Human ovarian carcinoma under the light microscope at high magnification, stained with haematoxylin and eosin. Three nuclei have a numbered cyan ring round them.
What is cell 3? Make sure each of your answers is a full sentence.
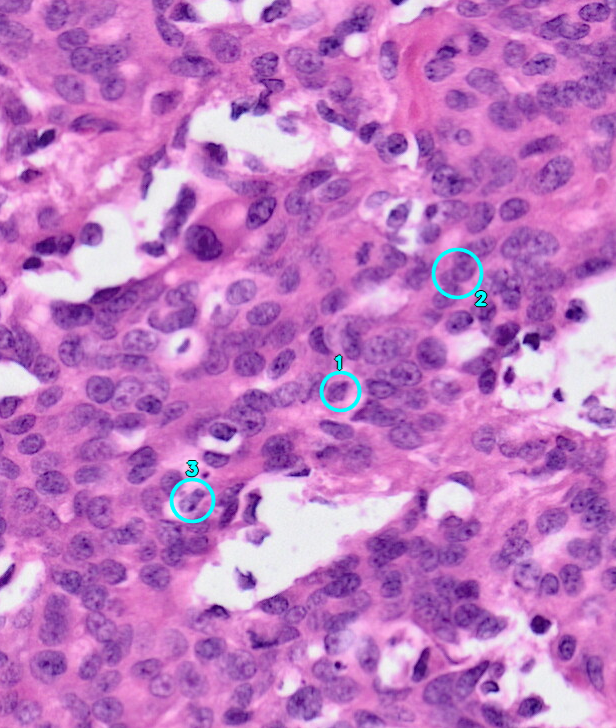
The one labeled 3 is a macrophage or monocyte, to put it simply.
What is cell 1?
Cell 1 should be recorded as a macrophage or monocyte.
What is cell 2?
At number 2, the marked cell is a carcinoma cell.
